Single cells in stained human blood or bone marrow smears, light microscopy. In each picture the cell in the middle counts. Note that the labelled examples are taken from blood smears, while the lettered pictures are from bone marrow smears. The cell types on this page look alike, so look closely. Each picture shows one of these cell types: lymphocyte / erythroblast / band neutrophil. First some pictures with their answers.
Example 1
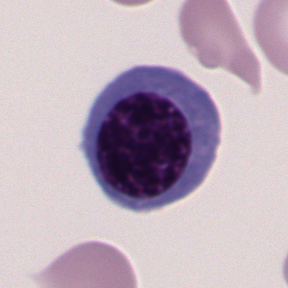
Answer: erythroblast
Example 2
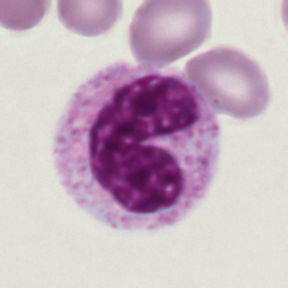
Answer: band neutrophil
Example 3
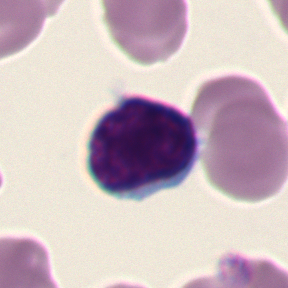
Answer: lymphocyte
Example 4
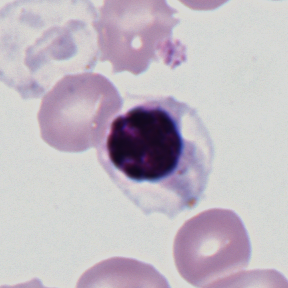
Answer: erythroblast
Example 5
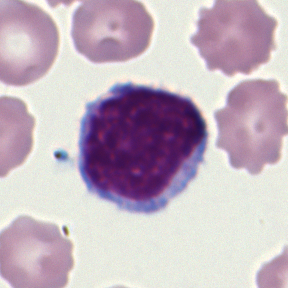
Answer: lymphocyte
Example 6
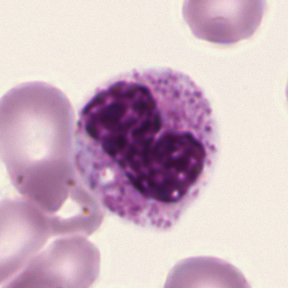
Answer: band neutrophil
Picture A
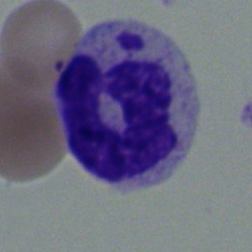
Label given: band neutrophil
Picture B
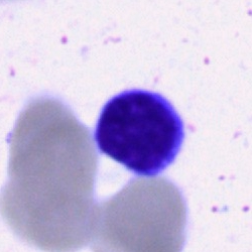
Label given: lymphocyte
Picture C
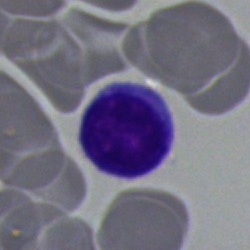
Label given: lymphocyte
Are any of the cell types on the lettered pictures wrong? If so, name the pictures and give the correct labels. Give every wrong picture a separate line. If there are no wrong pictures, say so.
Every label is right.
